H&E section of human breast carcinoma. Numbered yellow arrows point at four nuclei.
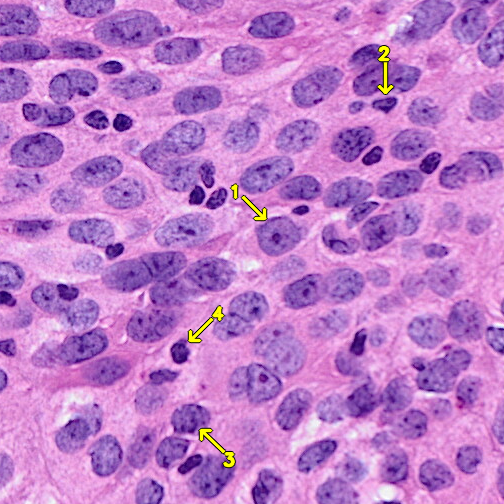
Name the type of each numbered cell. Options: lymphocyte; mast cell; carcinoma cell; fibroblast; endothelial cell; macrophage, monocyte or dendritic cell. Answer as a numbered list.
1. carcinoma cell
2. lymphocyte
3. carcinoma cell
4. lymphocyte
